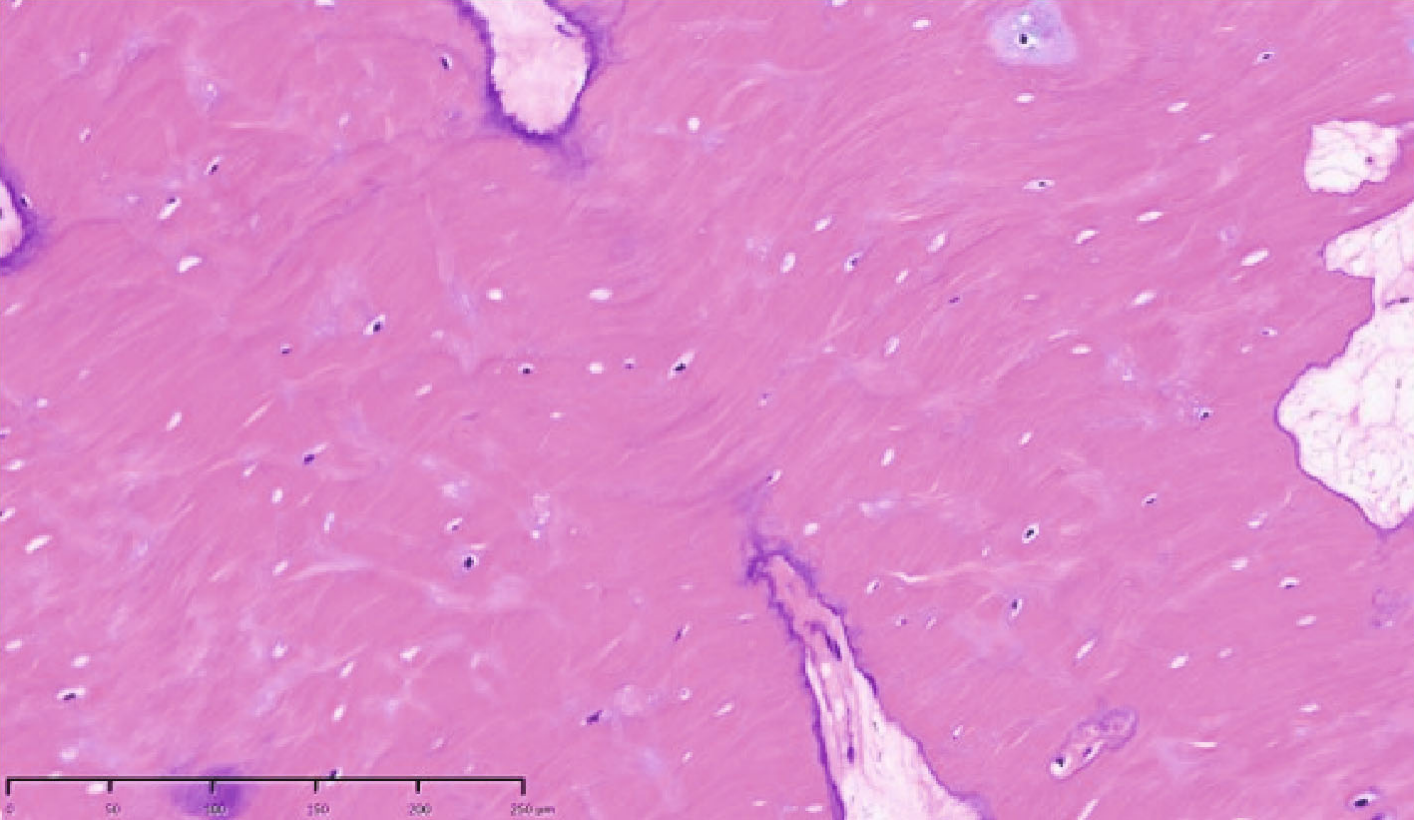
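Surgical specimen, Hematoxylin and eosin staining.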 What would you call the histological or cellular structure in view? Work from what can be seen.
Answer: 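Laminar structure. Fine wavy lines run roughly parallel through the pink matrix. Cell spaces are elongated along the same direction as the lines.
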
